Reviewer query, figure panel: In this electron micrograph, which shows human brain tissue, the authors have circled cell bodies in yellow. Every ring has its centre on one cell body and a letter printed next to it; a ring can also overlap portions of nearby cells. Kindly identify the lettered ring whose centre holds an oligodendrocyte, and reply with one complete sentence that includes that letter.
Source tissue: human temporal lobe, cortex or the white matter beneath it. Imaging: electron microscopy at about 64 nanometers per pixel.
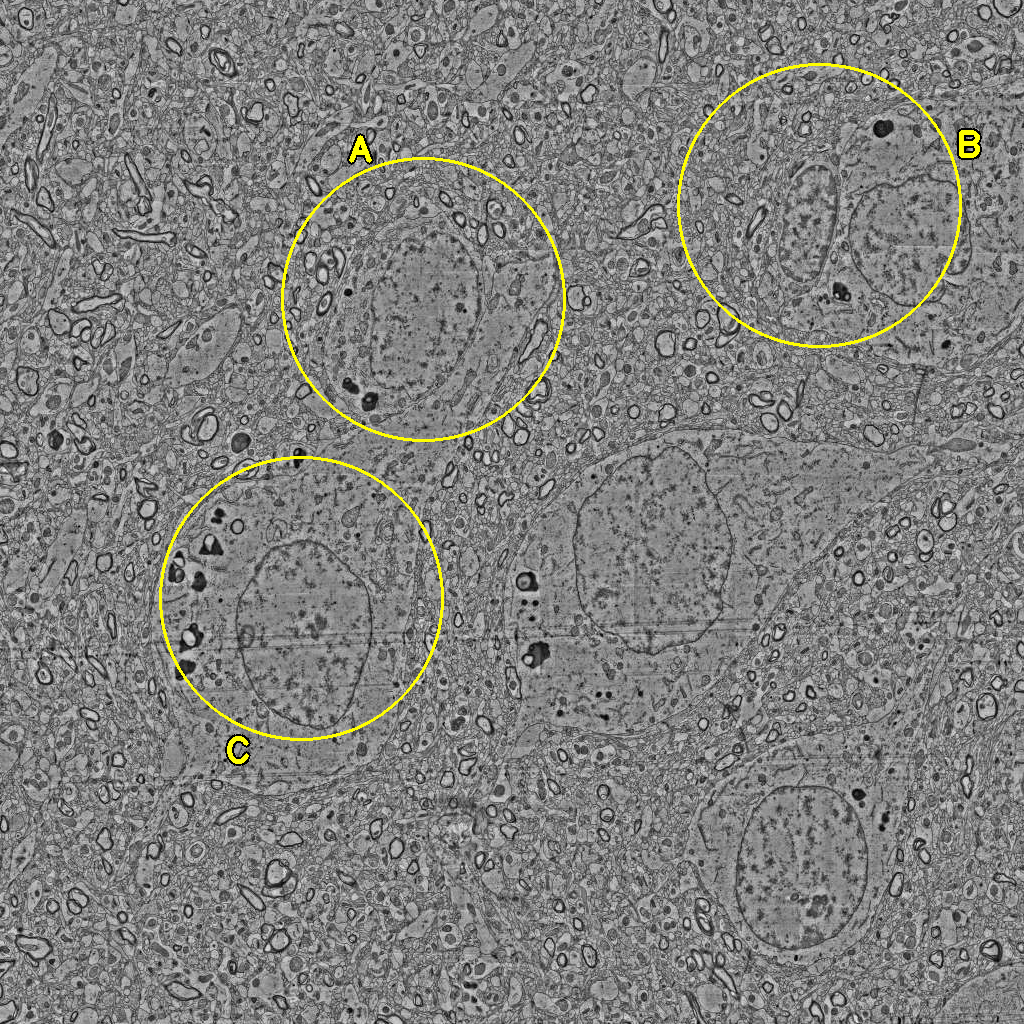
In this figure panel, the ring labelled B has the cell asked for at its centre.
